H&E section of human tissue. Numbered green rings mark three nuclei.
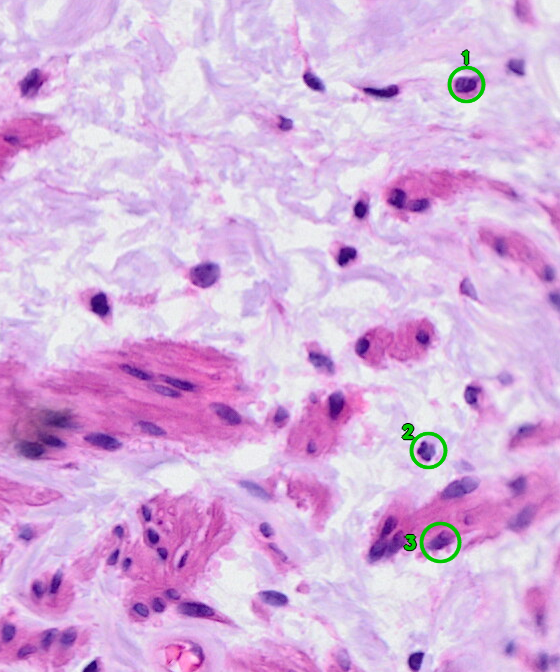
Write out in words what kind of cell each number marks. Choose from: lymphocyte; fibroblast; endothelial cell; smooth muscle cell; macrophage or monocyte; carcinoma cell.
Cell 1 is a macrophage or monocyte. Cell 2 is a lymphocyte. Cell 3 is a smooth muscle cell.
